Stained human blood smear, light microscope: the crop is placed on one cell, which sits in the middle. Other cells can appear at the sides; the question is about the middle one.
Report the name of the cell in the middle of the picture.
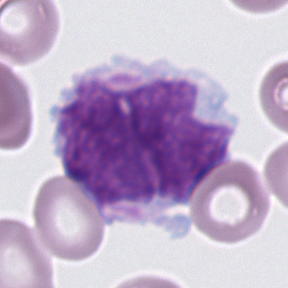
atypical promyelocyte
